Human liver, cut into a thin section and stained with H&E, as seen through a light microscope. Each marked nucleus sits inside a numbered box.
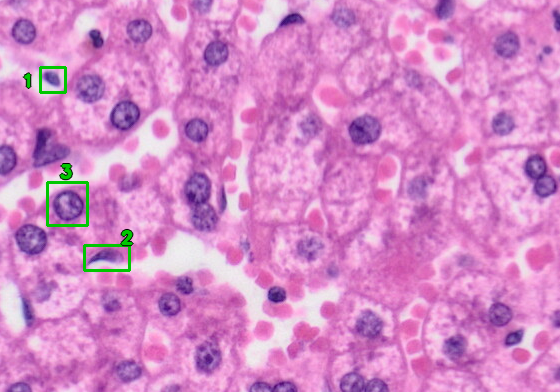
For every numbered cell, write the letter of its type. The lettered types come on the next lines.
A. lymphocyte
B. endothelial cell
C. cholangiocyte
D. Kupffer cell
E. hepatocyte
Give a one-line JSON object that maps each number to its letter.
{"1": "A", "2": "B", "3": "E"}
